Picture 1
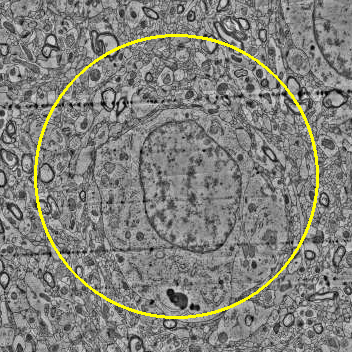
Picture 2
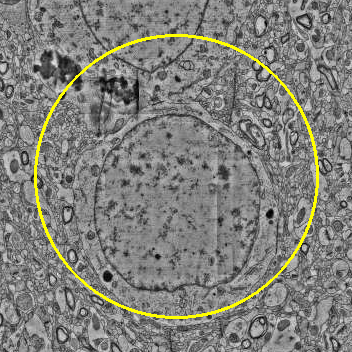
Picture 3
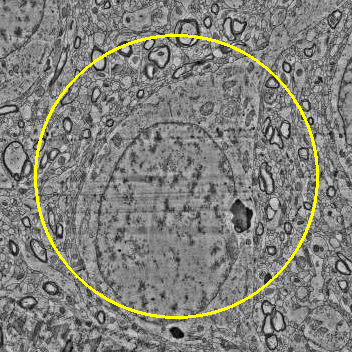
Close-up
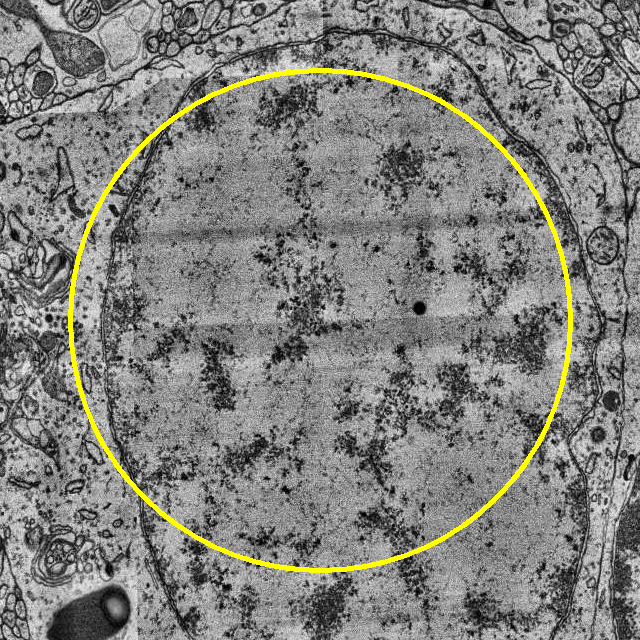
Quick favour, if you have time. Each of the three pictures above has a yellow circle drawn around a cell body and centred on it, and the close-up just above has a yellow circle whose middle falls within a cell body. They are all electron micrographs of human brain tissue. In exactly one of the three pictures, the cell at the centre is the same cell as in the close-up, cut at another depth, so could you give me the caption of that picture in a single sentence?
The close-up pictures the cell encircled in Picture 1.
